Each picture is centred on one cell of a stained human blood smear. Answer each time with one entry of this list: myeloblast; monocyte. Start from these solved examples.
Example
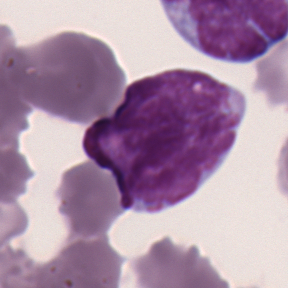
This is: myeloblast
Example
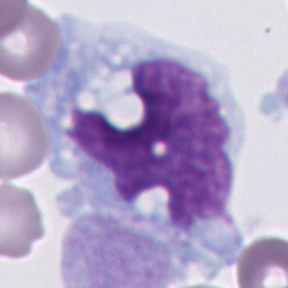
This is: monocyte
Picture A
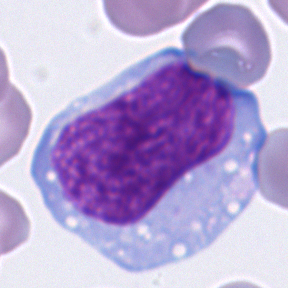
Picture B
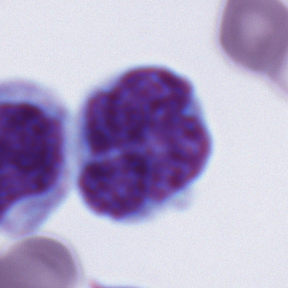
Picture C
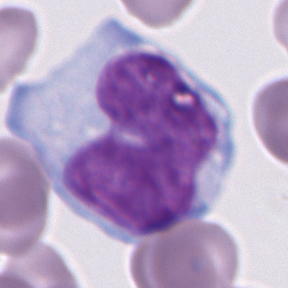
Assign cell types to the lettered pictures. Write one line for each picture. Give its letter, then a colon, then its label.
A: myeloblast
B: monocyte
C: myeloblast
